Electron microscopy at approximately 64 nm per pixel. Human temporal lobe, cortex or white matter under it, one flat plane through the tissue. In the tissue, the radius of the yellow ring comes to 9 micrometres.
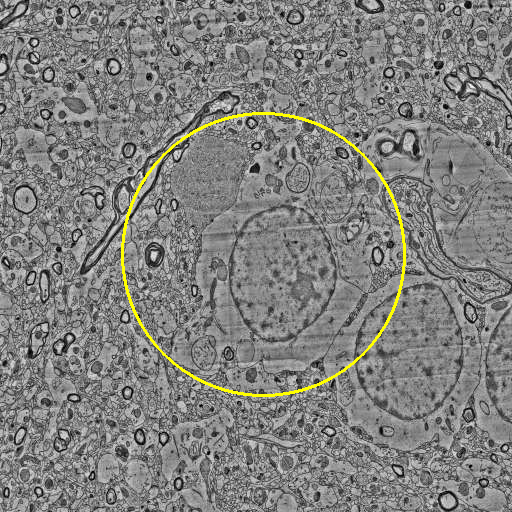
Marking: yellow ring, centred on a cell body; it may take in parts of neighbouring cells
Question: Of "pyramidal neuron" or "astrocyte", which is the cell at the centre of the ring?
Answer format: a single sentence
The ring surrounds the body of an astrocyte.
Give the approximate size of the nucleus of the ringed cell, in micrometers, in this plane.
In this plane, roughly 9 by 7 micrometres.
